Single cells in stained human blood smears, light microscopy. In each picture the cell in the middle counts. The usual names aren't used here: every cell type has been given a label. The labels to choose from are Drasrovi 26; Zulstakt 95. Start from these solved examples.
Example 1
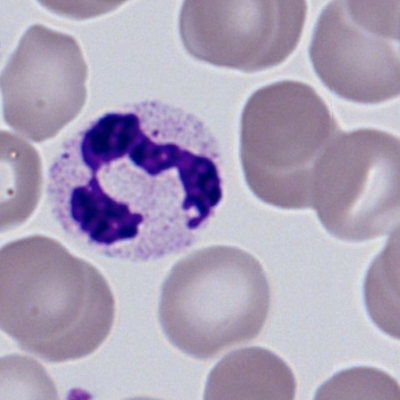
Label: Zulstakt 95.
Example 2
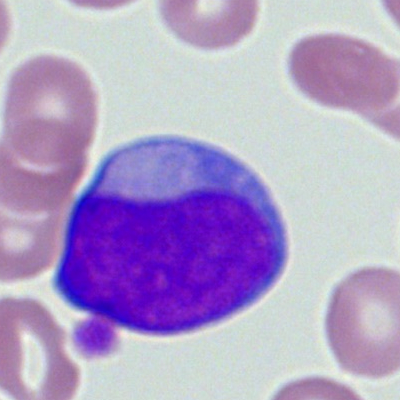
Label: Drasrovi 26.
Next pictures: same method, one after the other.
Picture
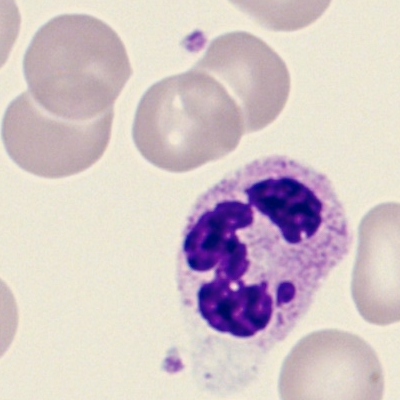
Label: Zulstakt 95.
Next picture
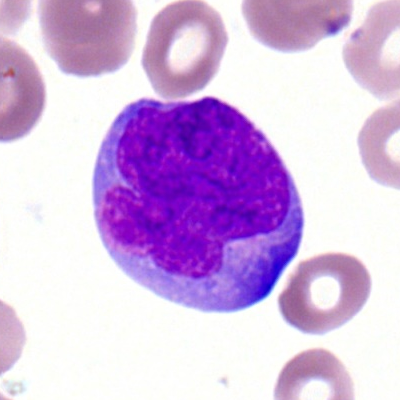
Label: Drasrovi 26.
